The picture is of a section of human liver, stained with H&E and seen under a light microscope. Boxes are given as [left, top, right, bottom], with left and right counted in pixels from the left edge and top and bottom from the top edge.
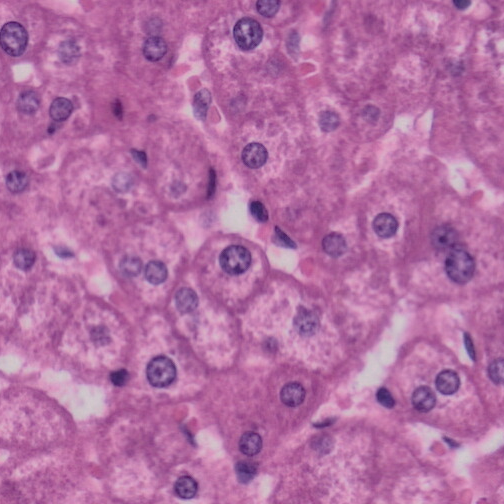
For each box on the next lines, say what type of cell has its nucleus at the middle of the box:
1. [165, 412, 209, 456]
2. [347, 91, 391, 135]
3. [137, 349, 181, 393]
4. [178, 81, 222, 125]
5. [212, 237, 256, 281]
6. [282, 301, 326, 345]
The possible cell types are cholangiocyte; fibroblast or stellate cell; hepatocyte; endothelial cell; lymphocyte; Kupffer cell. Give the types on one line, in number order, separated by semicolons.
endothelial cell; hepatocyte; hepatocyte; Kupffer cell; hepatocyte; hepatocyte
